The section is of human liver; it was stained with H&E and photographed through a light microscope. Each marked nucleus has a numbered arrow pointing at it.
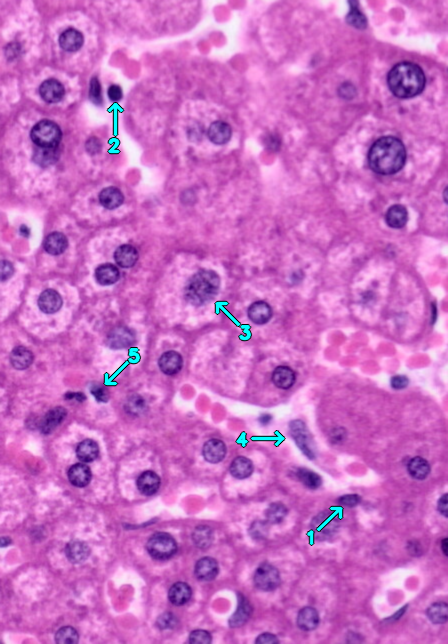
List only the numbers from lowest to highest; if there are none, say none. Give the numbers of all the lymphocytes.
2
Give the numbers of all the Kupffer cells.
4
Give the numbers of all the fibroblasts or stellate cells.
1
